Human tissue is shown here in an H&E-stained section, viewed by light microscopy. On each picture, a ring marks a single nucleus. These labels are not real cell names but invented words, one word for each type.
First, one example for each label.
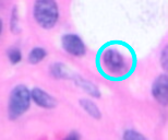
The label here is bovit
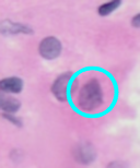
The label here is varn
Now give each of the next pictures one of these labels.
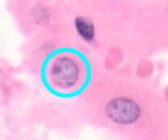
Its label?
varn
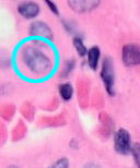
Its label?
bovit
